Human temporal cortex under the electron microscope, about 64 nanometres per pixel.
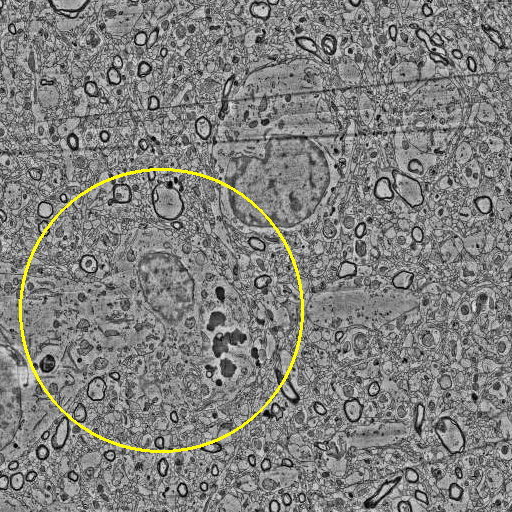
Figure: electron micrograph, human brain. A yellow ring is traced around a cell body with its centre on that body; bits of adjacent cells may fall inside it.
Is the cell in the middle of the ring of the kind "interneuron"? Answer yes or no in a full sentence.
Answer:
Yes, that kind applies to the cell centred within the yellow ring of the picture.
